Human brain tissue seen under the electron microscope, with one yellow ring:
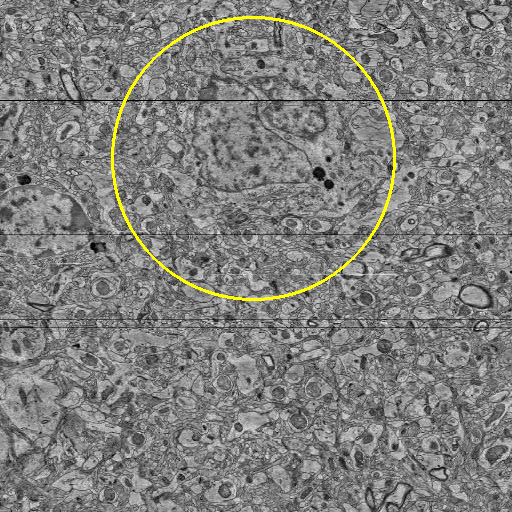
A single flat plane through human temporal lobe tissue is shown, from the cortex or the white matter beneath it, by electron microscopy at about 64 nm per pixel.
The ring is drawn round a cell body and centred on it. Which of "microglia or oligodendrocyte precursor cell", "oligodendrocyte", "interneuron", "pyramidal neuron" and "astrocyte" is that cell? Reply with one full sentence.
The picture shows an interneuron at the very centre of the yellow ring.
